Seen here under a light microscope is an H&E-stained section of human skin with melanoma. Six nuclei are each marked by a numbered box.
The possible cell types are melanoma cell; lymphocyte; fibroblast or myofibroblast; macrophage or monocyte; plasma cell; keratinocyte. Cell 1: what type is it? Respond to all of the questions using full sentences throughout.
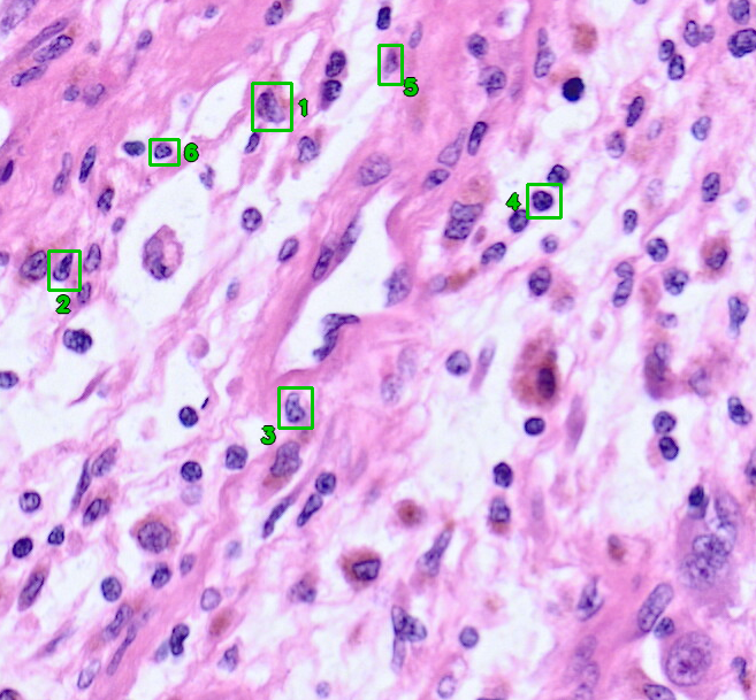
Cell 1 in the field of view is a macrophage or monocyte.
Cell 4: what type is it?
Classified as a lymphocyte is the cell with the number 4.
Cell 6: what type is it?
The one labeled 6 is a lymphocyte, to put it simply.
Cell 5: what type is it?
The nucleus with number 5 is that of a macrophage or monocyte.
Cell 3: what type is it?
What the number 3 marks in this field is a lymphocyte.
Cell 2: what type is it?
The cell carrying label 2 is identified as a lymphocyte.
